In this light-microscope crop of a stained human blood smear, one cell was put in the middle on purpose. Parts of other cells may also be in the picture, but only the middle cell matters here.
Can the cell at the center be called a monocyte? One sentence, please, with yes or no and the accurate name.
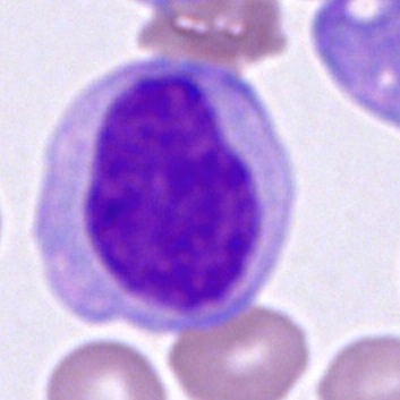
Yes, the cell sitting in the center is a monocyte.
